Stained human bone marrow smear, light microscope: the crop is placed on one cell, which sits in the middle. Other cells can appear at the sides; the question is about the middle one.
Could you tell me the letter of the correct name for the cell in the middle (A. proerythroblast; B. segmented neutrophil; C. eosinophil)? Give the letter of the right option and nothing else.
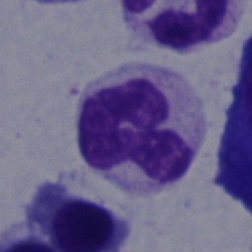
B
